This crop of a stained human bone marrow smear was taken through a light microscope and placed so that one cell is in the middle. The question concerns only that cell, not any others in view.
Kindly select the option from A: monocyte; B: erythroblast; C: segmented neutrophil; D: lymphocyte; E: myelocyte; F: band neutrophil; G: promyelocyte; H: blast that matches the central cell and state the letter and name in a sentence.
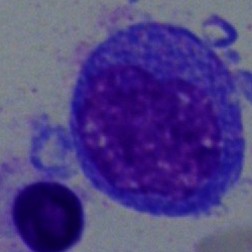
The cell positioned centrally is a blast, as given in option H, which is correct.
